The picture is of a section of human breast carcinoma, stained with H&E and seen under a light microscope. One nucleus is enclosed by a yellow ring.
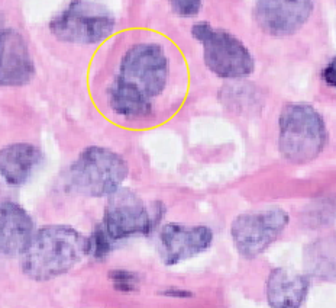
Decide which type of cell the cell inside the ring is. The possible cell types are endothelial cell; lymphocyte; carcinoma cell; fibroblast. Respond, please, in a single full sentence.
Cell type answer for this item: the cell inside the ring is a carcinoma cell.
